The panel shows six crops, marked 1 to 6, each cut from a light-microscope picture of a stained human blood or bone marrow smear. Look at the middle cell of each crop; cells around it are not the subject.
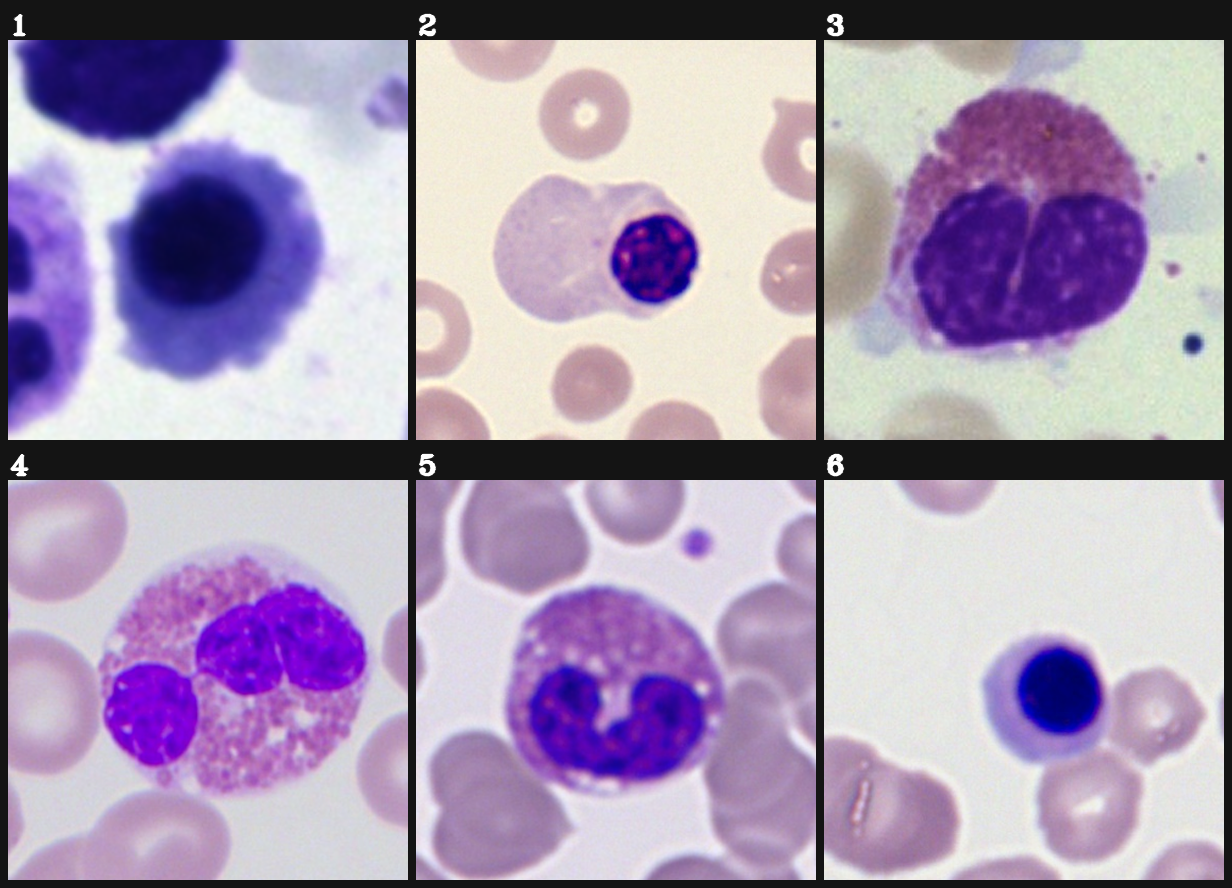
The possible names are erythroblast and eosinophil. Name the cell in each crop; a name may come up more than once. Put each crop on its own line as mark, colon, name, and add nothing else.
1: erythroblast
2: erythroblast
3: eosinophil
4: eosinophil
5: eosinophil
6: erythroblast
